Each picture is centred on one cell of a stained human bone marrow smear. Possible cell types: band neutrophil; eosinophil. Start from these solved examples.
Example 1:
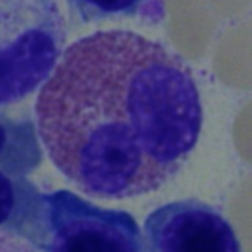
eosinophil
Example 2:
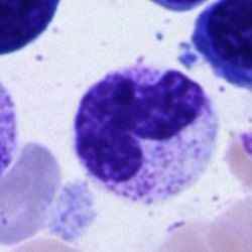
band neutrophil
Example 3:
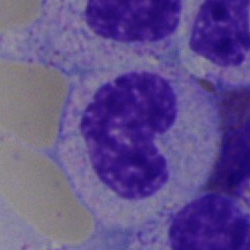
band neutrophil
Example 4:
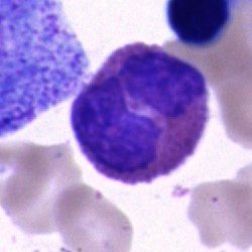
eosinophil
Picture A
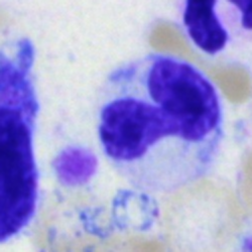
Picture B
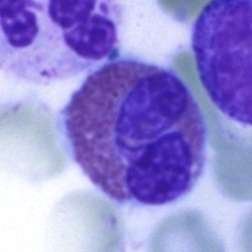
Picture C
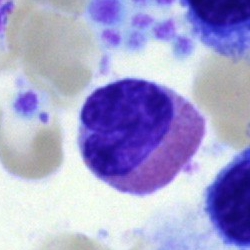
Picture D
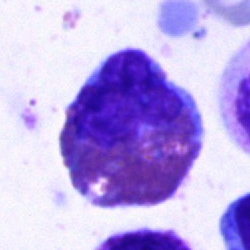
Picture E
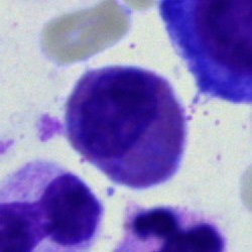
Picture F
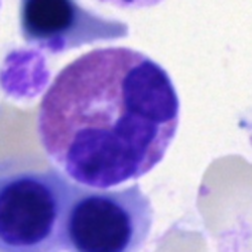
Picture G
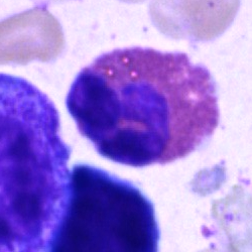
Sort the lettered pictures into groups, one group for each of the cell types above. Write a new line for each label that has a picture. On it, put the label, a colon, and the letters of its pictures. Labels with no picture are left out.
band neutrophil: A
eosinophil: B, C, D, E, F, G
